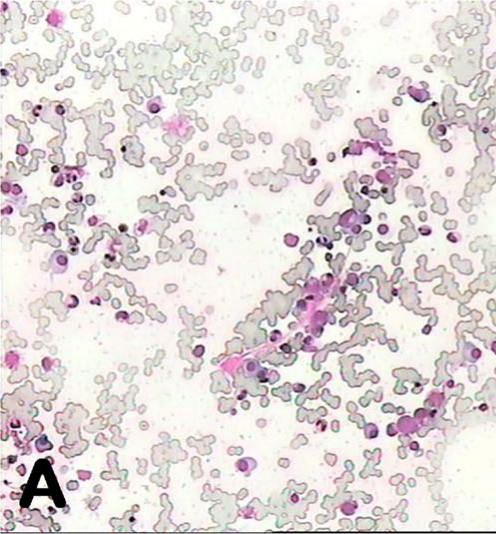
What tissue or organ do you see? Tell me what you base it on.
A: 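Bone marrow. Smear with many nucleated cells of varied sizes scattered among red cells. A small particle-like cluster of cells and pink material lies in the centre.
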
